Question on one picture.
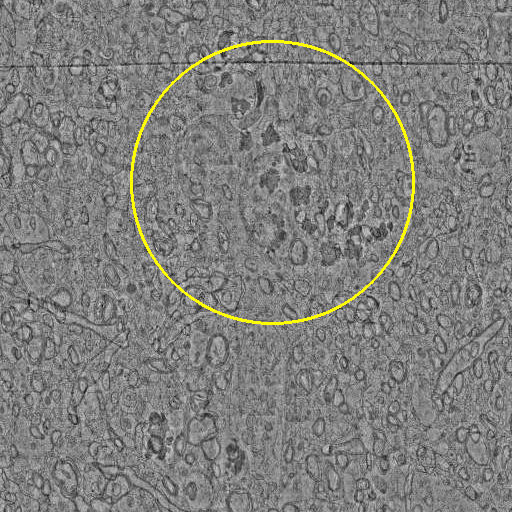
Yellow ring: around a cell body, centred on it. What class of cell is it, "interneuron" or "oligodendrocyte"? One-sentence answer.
This is an oligodendrocyte, the cell the ring is centred on.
